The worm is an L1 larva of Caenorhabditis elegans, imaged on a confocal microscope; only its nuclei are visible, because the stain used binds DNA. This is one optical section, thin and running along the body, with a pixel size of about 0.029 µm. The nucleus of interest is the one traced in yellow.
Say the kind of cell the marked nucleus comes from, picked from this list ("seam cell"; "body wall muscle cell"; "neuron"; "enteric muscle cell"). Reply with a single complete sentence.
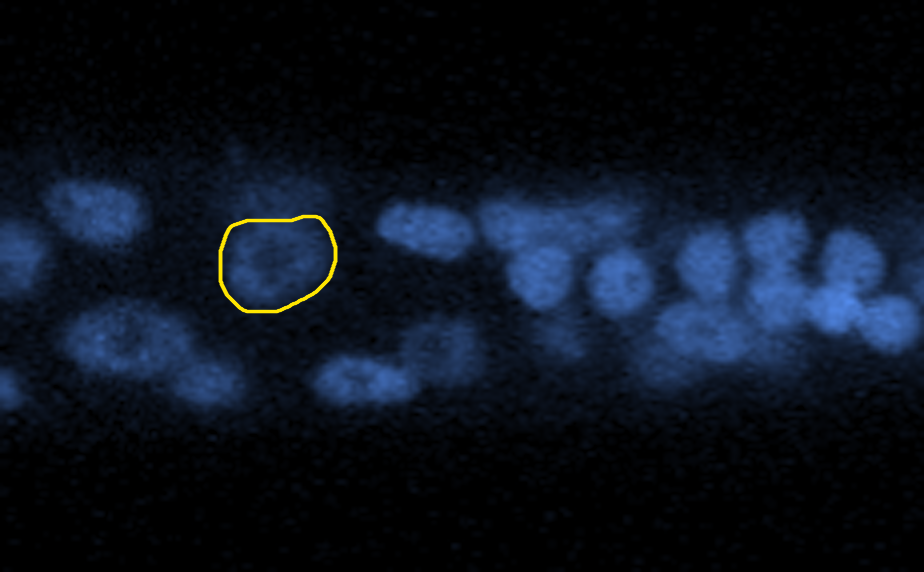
The nucleus comes from a seam cell.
